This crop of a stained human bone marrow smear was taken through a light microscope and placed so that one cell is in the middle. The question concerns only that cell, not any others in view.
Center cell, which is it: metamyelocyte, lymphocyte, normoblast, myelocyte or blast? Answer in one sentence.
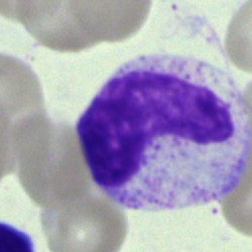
Centrally within this crop lies a metamyelocyte.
